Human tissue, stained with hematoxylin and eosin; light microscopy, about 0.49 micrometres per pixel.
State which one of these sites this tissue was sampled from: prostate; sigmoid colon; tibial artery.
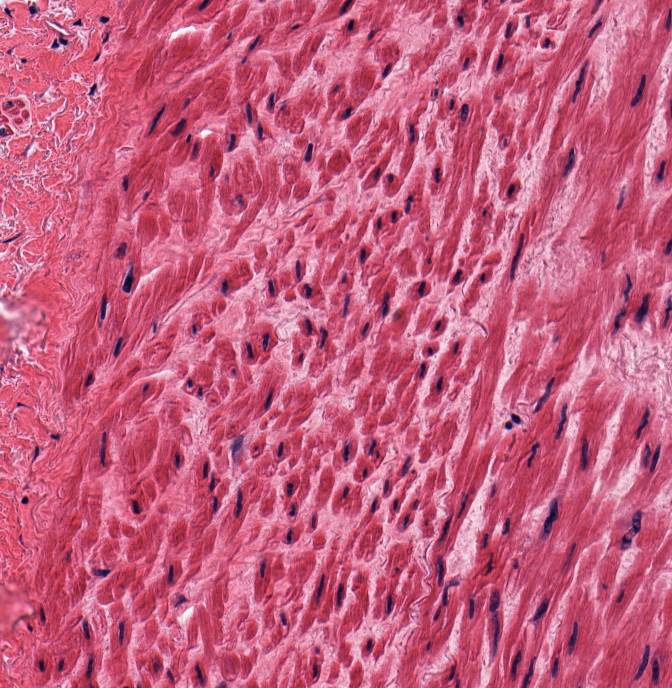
tibial artery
